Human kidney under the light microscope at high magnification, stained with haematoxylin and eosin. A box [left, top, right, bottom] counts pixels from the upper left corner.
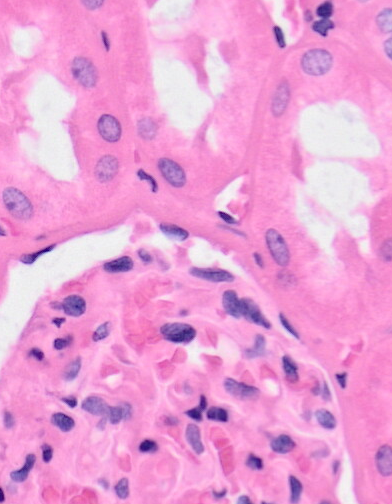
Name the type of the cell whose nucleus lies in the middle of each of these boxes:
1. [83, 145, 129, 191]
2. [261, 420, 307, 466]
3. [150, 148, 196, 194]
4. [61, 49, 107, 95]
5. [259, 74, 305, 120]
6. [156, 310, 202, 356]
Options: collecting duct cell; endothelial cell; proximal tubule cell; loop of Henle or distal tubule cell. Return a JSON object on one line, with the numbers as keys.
{"1": "proximal tubule cell", "2": "endothelial cell", "3": "proximal tubule cell", "4": "proximal tubule cell", "5": "proximal tubule cell", "6": "endothelial cell"}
